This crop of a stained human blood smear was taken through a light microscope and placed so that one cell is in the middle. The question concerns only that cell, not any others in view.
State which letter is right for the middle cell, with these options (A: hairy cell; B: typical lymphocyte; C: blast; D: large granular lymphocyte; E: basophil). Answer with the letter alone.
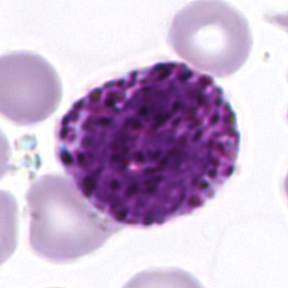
E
